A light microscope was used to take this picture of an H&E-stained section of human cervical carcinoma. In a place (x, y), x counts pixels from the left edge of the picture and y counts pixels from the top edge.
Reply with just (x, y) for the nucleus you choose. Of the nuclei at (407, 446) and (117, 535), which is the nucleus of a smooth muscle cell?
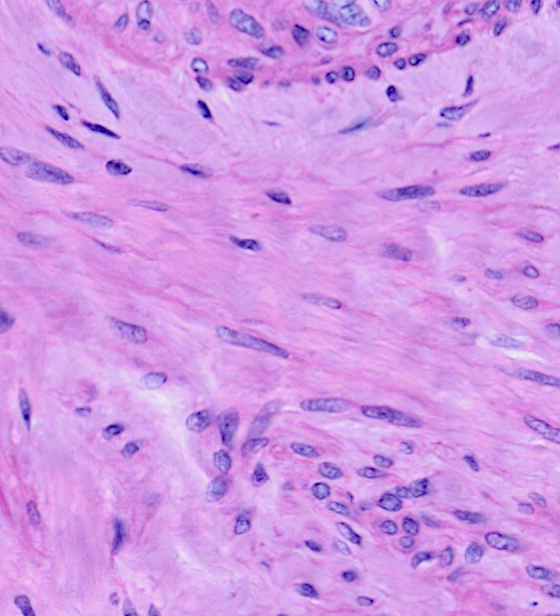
(407, 446)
